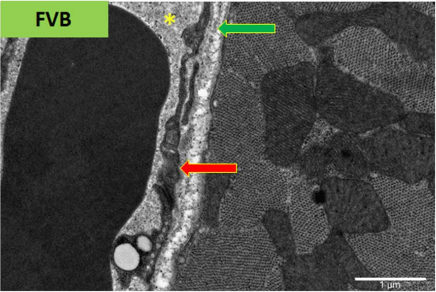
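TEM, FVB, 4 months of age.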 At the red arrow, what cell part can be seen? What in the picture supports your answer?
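The arrow points to a thin cell layer right beside a red blood cell in a vessel. The layer lies between the vessel space and a muscle cell with myofibrils.
Conclusion: endothelium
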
